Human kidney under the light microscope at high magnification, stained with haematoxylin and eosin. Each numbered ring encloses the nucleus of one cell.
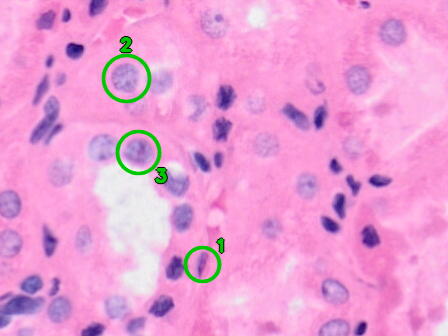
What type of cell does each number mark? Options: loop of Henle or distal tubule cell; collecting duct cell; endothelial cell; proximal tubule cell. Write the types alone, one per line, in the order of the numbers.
endothelial cell
loop of Henle or distal tubule cell
loop of Henle or distal tubule cell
